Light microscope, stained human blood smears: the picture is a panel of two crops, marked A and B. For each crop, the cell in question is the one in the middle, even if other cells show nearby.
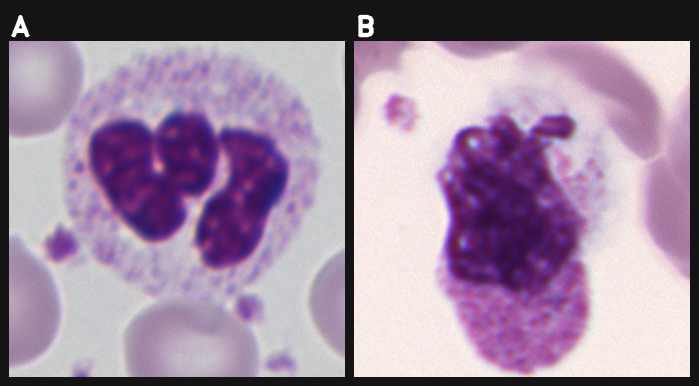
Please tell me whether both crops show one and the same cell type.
yes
